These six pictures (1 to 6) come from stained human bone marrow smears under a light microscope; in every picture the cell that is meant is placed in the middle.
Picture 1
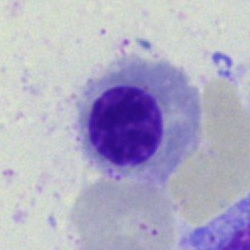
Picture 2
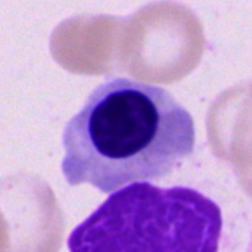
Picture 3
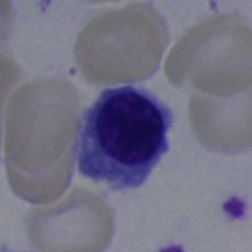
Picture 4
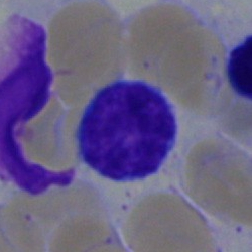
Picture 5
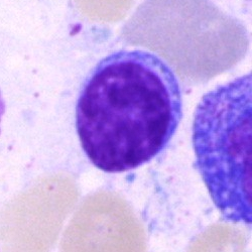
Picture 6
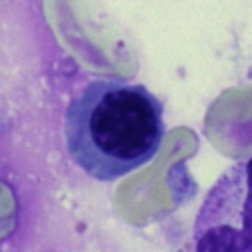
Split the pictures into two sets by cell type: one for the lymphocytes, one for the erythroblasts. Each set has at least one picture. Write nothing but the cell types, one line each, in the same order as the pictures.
erythroblast
erythroblast
erythroblast
lymphocyte
lymphocyte
erythroblast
